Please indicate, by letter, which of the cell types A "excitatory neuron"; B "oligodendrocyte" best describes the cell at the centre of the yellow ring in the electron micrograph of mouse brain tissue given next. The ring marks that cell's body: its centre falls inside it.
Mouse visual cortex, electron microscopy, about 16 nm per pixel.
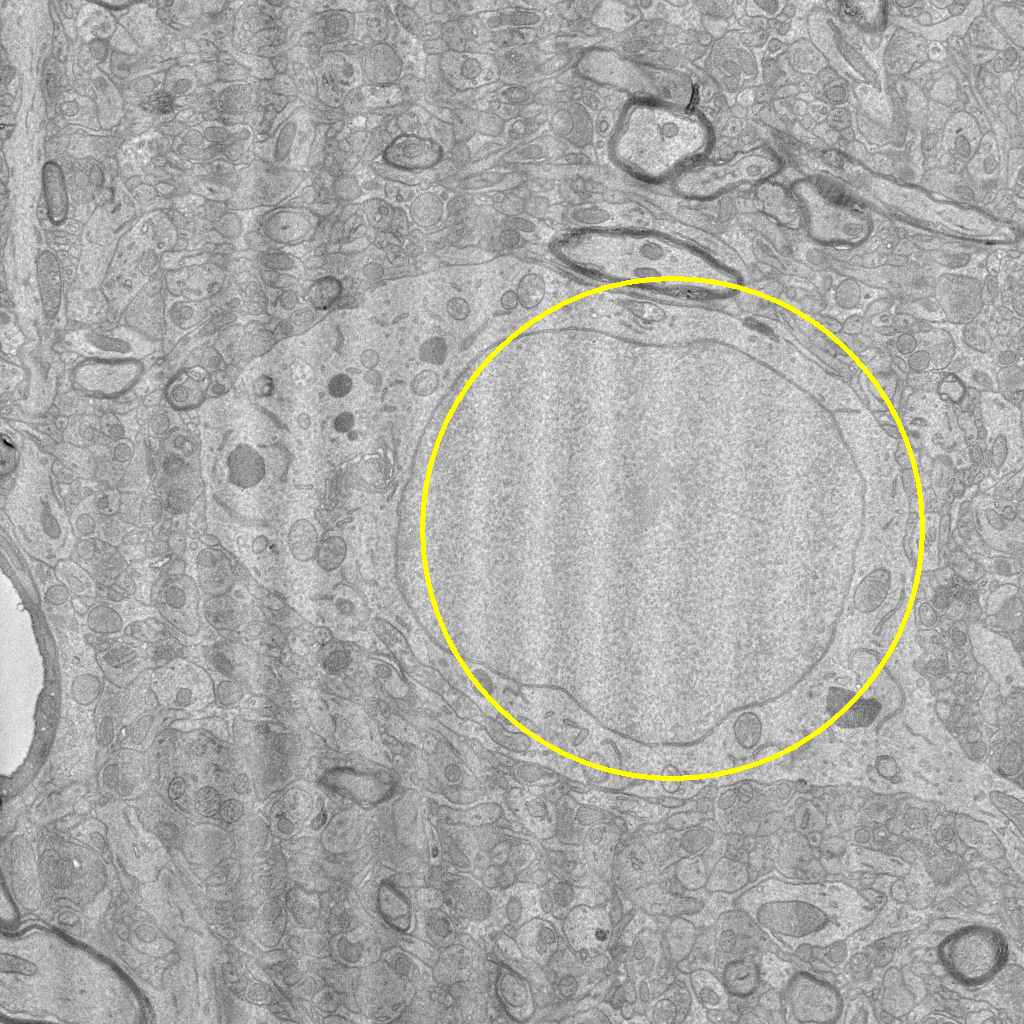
A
